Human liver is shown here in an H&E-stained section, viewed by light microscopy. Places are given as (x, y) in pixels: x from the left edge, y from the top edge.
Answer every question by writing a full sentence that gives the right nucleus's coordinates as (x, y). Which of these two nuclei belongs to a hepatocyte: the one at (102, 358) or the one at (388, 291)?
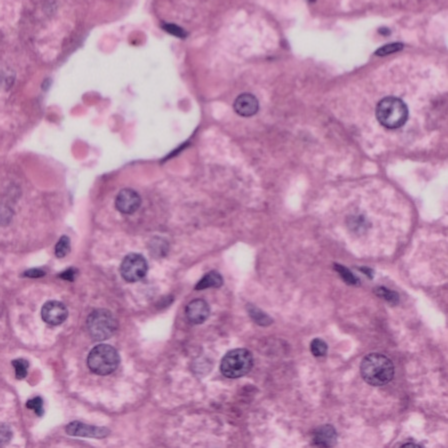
In this pair, the nucleus at (102, 358) belongs to a hepatocyte.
